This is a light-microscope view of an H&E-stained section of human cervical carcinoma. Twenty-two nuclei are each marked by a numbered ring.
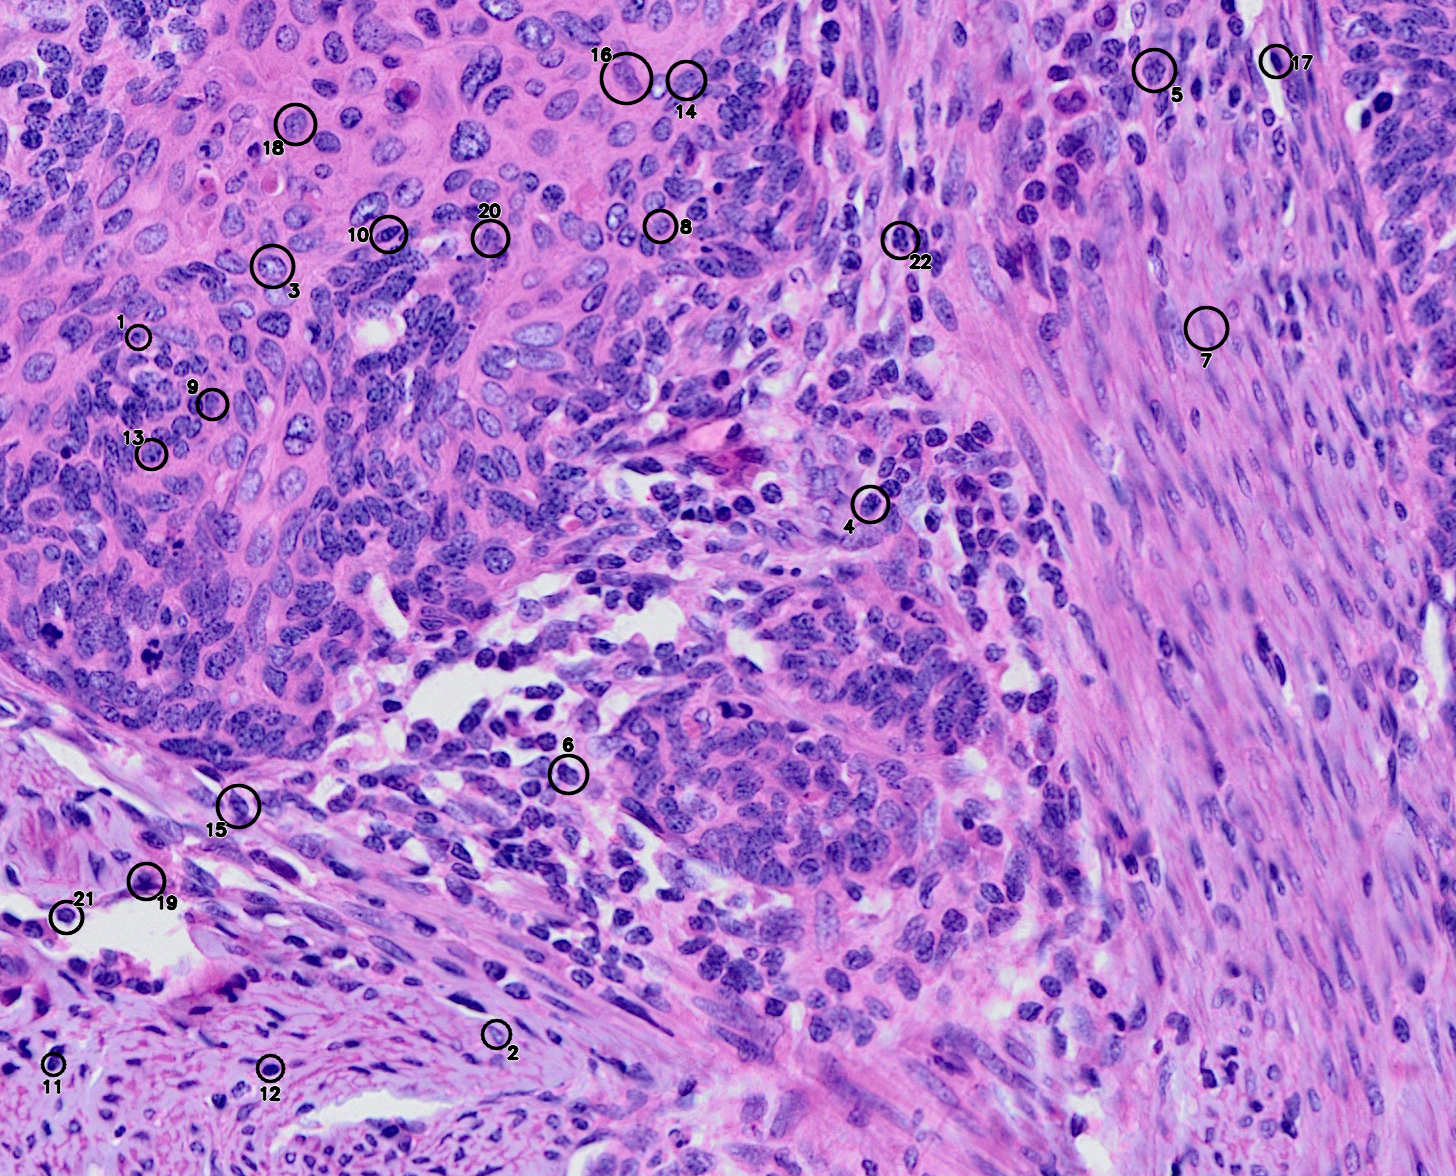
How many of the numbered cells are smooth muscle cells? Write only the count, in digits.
2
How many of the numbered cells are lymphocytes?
10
